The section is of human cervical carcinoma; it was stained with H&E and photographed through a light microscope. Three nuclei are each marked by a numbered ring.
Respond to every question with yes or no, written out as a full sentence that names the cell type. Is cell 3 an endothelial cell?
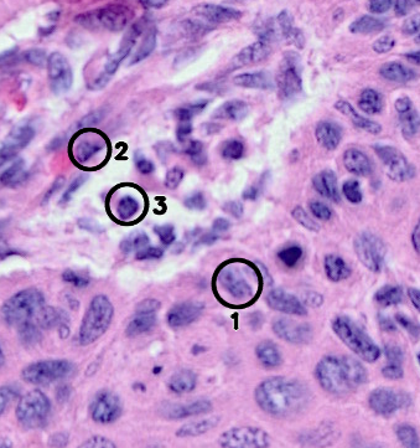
No, the cell with number 3 is not an endothelial cell but a lymphocyte.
